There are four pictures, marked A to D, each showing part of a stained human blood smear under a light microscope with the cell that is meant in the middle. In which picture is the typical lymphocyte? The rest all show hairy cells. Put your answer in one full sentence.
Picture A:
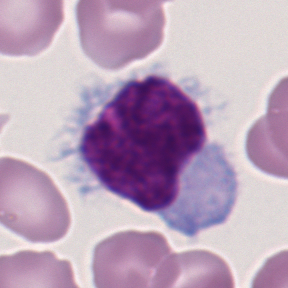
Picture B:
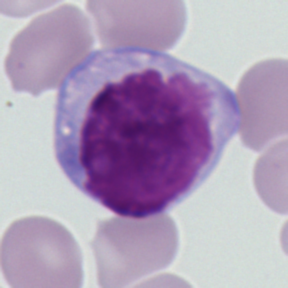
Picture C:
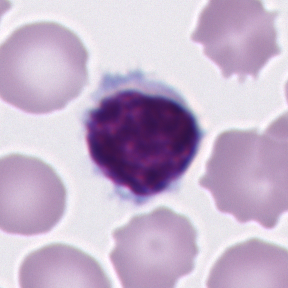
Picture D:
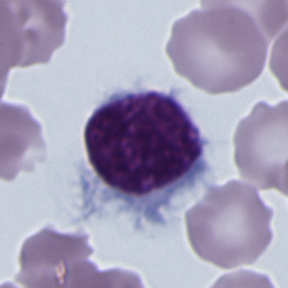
The cell in picture B is the typical lymphocyte.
